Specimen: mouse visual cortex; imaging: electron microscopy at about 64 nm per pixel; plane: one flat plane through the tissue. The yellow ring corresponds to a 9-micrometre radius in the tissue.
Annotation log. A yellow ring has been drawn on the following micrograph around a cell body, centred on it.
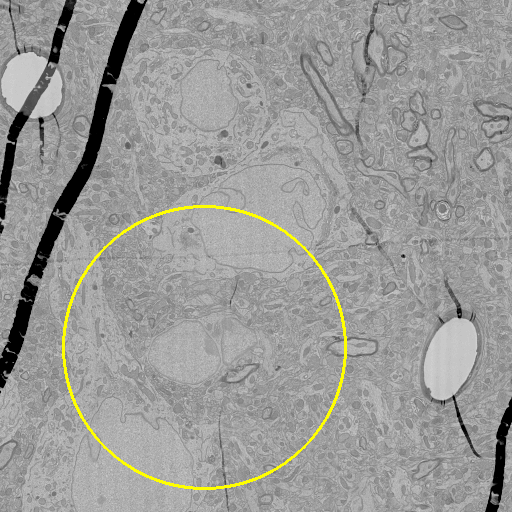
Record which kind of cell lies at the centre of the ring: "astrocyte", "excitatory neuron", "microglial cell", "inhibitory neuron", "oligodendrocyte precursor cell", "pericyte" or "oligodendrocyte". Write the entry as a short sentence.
The cell the ring is centred on is an oligodendrocyte precursor cell.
